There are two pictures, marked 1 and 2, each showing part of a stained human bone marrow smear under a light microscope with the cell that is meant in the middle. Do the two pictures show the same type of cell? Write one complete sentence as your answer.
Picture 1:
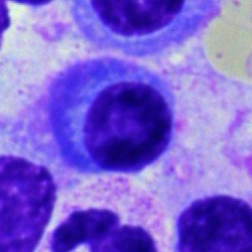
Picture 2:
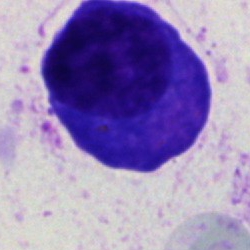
Yes, both cells are plasma cells.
